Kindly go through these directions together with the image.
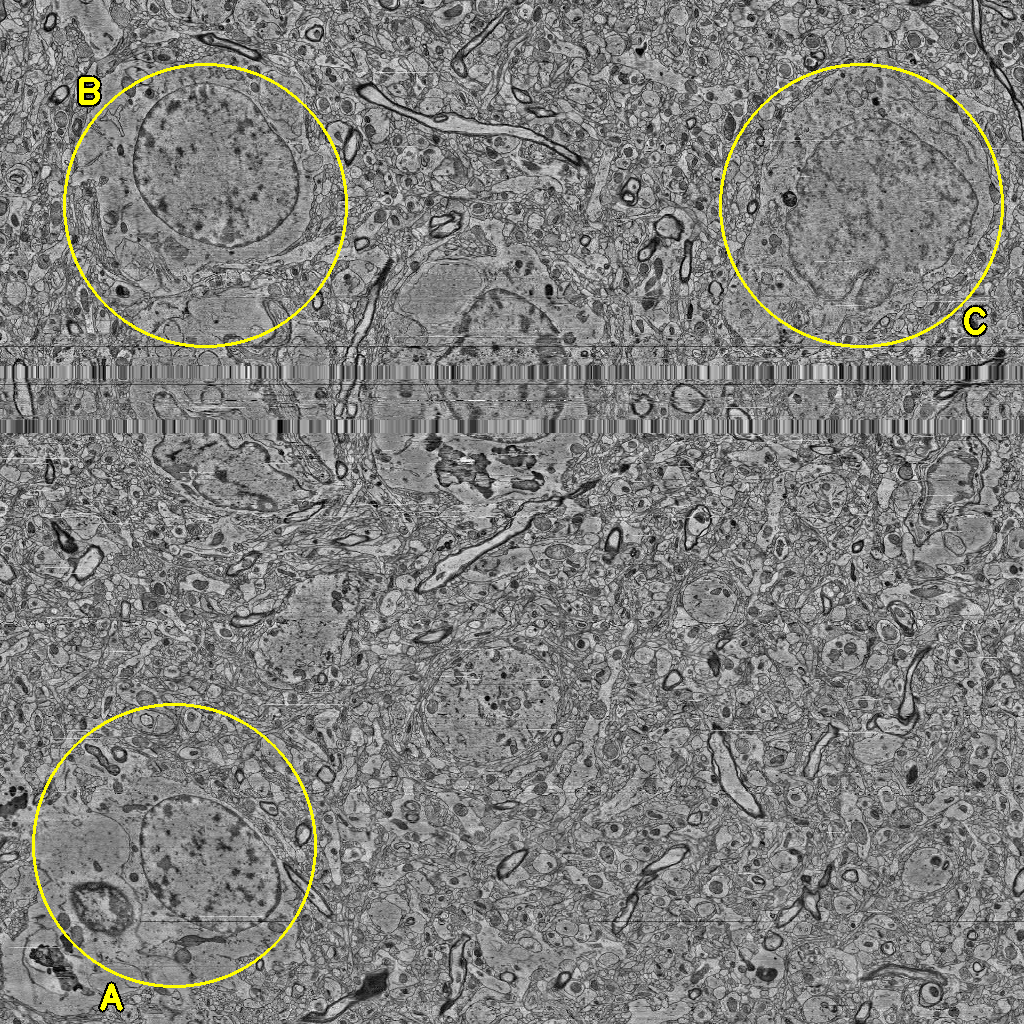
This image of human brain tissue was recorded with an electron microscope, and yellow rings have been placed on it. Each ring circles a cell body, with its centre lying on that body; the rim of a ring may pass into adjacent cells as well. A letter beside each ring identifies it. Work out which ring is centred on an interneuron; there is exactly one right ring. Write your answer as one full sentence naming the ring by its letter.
Ring C is the one whose centre lies on a cell of that kind.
